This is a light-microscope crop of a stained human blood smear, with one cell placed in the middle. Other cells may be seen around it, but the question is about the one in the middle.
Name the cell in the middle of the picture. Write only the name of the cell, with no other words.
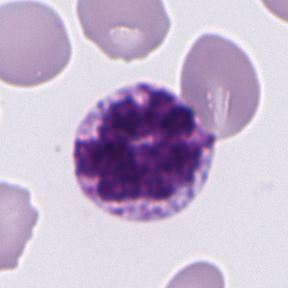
basophil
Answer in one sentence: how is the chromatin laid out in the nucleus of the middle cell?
The nucleus shows chromatin that is coarsely clumped.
